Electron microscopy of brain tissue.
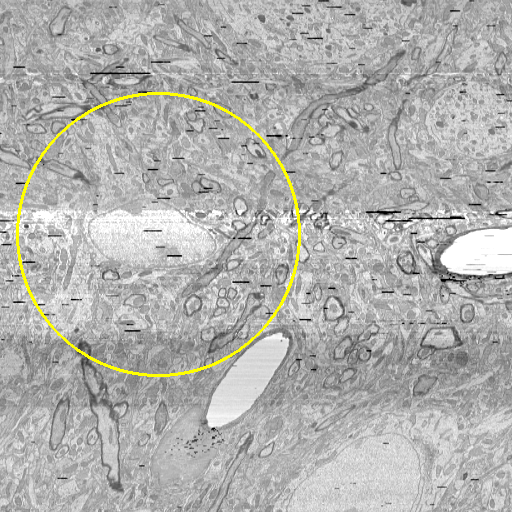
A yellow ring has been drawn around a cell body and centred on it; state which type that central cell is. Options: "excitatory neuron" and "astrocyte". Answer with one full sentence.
The cell at the middle of the yellow ring is an astrocyte in this picture.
